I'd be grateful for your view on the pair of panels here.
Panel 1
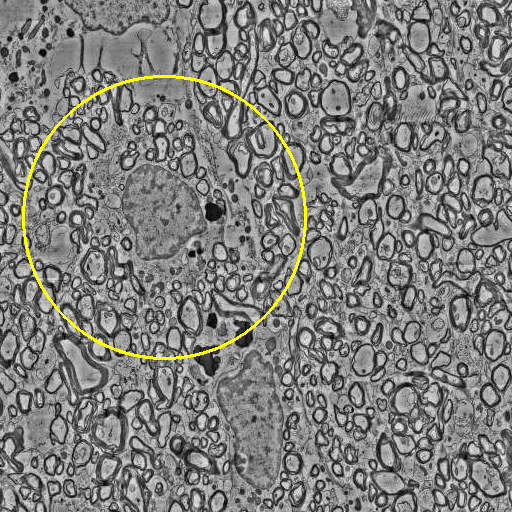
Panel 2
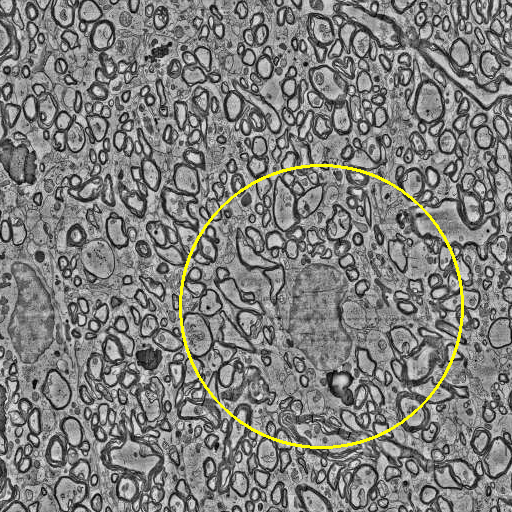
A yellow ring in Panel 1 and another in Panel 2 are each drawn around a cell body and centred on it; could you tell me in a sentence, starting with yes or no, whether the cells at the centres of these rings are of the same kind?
Yes, they are the same kind of cell.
